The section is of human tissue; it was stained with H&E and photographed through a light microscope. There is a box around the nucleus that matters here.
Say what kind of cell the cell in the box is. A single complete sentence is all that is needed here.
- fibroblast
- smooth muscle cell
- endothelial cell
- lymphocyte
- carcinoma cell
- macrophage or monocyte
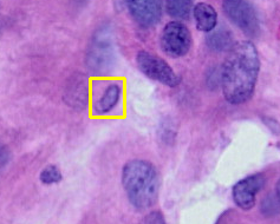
In this preparation, the cell in the box is a macrophage or monocyte.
